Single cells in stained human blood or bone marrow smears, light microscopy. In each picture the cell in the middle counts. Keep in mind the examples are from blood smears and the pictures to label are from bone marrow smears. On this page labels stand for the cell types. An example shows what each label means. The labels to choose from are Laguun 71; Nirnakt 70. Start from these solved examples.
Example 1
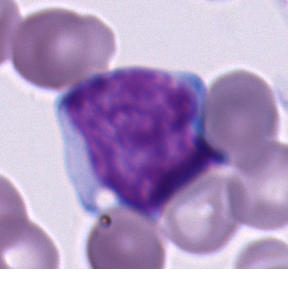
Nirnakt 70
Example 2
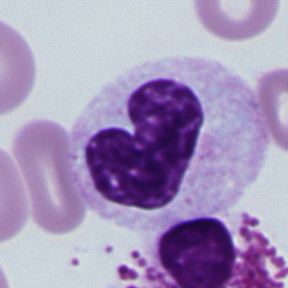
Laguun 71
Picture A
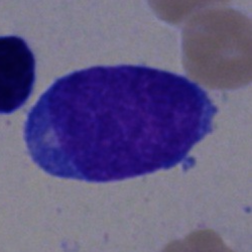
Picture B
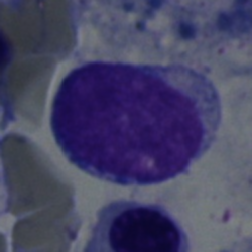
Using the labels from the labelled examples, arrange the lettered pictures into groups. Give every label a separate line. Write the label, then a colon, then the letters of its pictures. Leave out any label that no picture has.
Nirnakt 70: A, B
